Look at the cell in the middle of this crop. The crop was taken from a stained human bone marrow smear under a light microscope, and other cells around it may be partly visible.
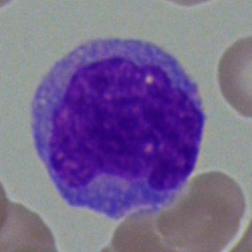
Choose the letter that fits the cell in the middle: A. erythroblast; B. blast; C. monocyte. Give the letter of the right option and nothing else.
C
